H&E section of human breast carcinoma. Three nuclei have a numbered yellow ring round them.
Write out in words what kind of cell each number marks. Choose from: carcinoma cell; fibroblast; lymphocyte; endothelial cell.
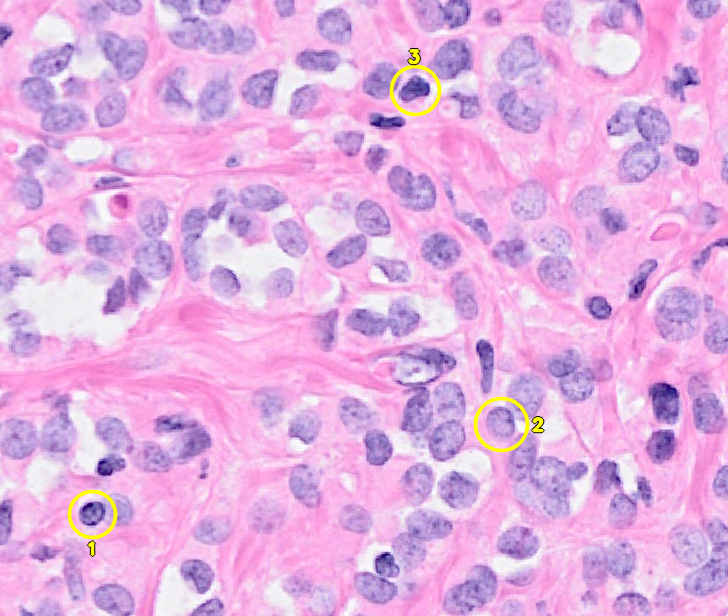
Cells 1 and 3 are lymphocytes. Cell 2 is a carcinoma cell.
